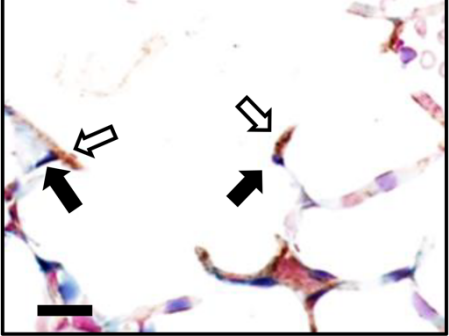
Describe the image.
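This is lung tissue in which thin alveolar walls separate wide, empty air spaces. The brown and blue cells sit close beside each other within the same thin walls, and a thicker brown-stained junction of walls lies at the bottom of the field.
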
